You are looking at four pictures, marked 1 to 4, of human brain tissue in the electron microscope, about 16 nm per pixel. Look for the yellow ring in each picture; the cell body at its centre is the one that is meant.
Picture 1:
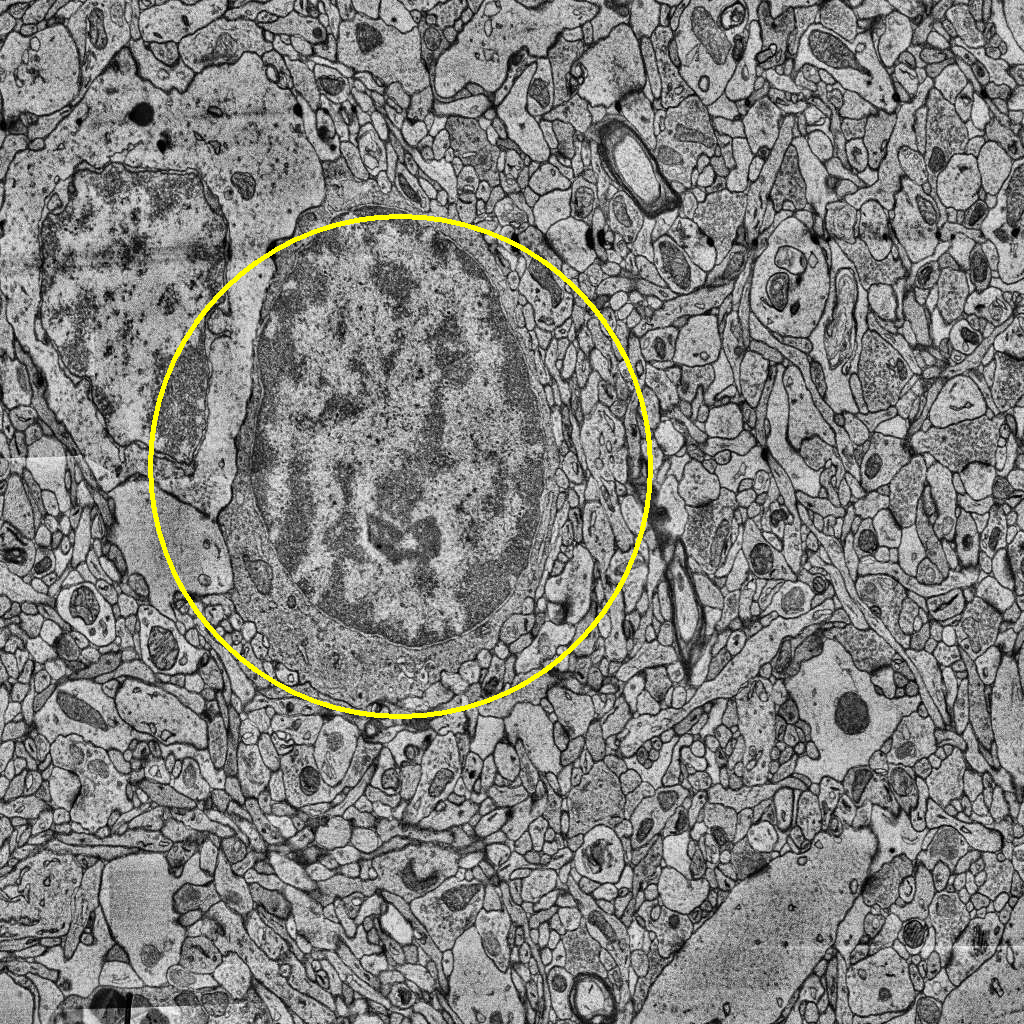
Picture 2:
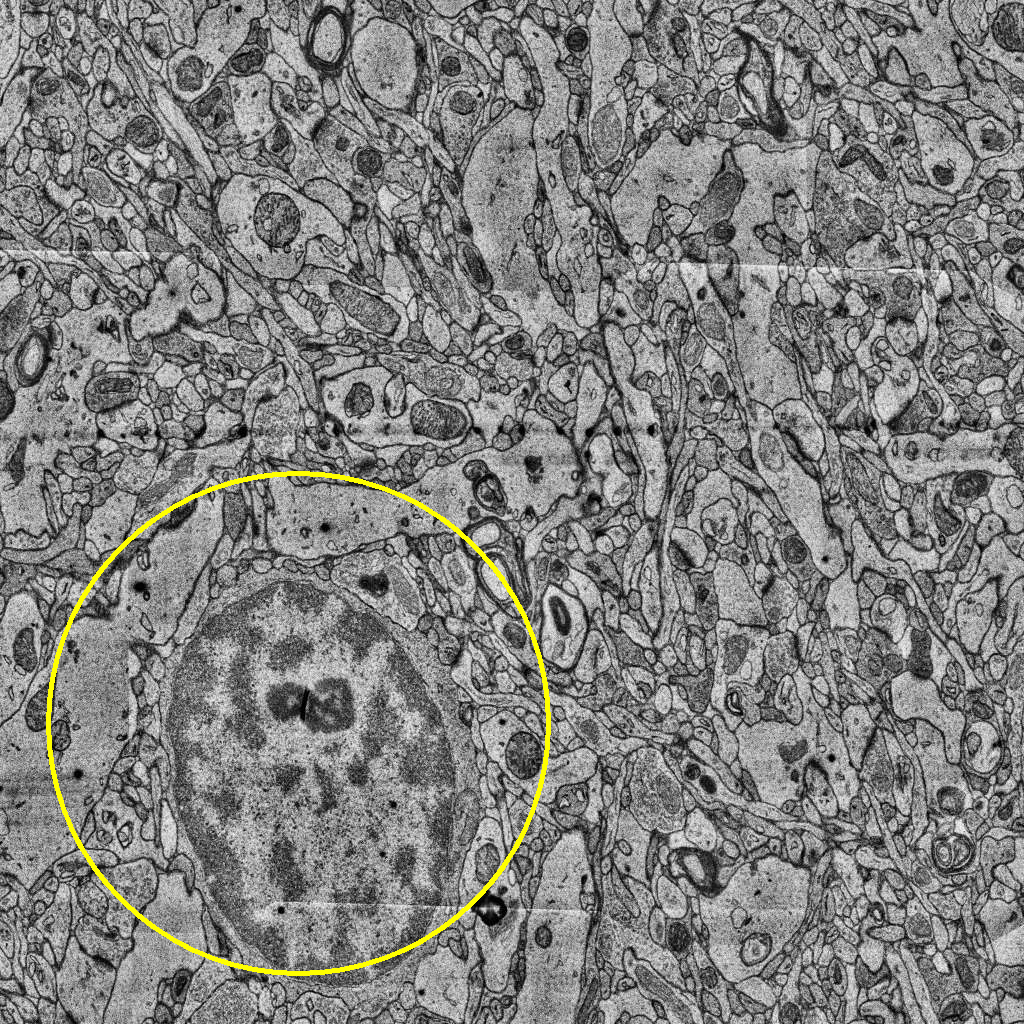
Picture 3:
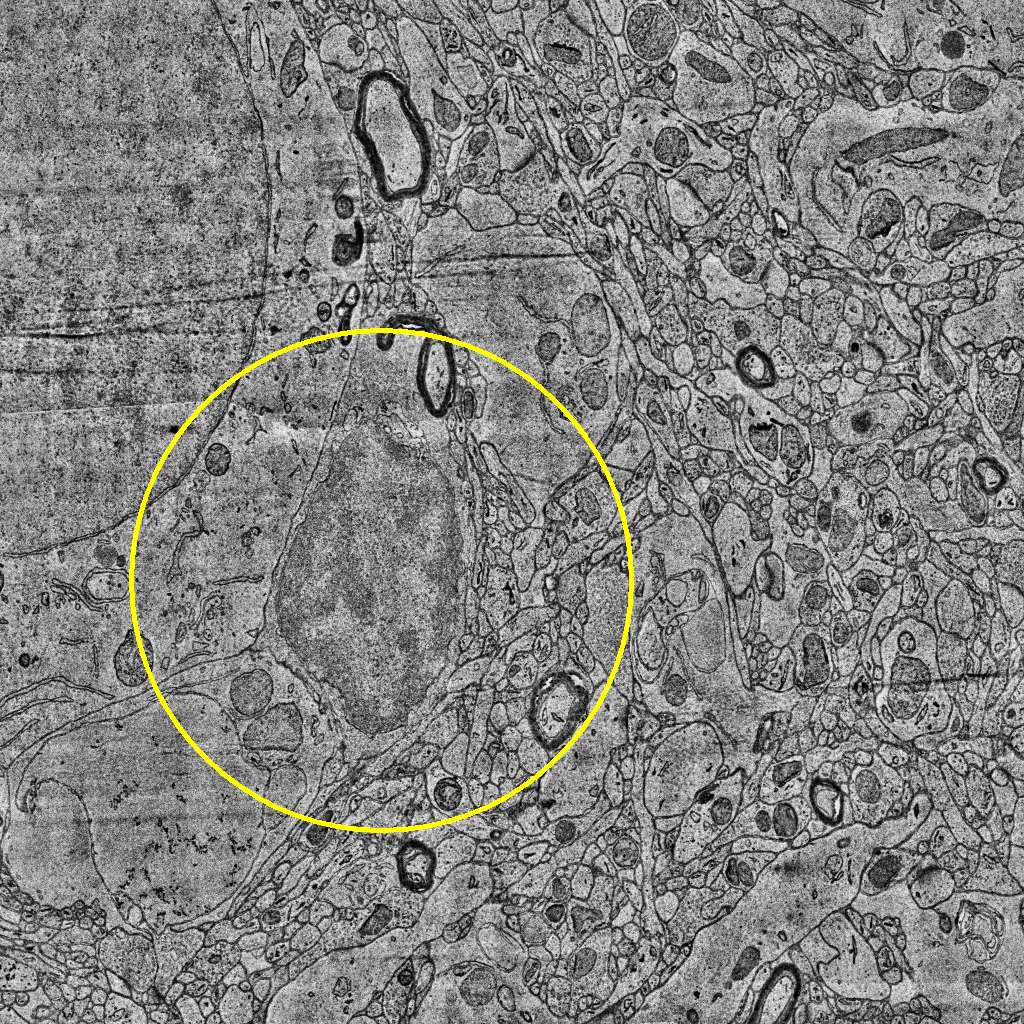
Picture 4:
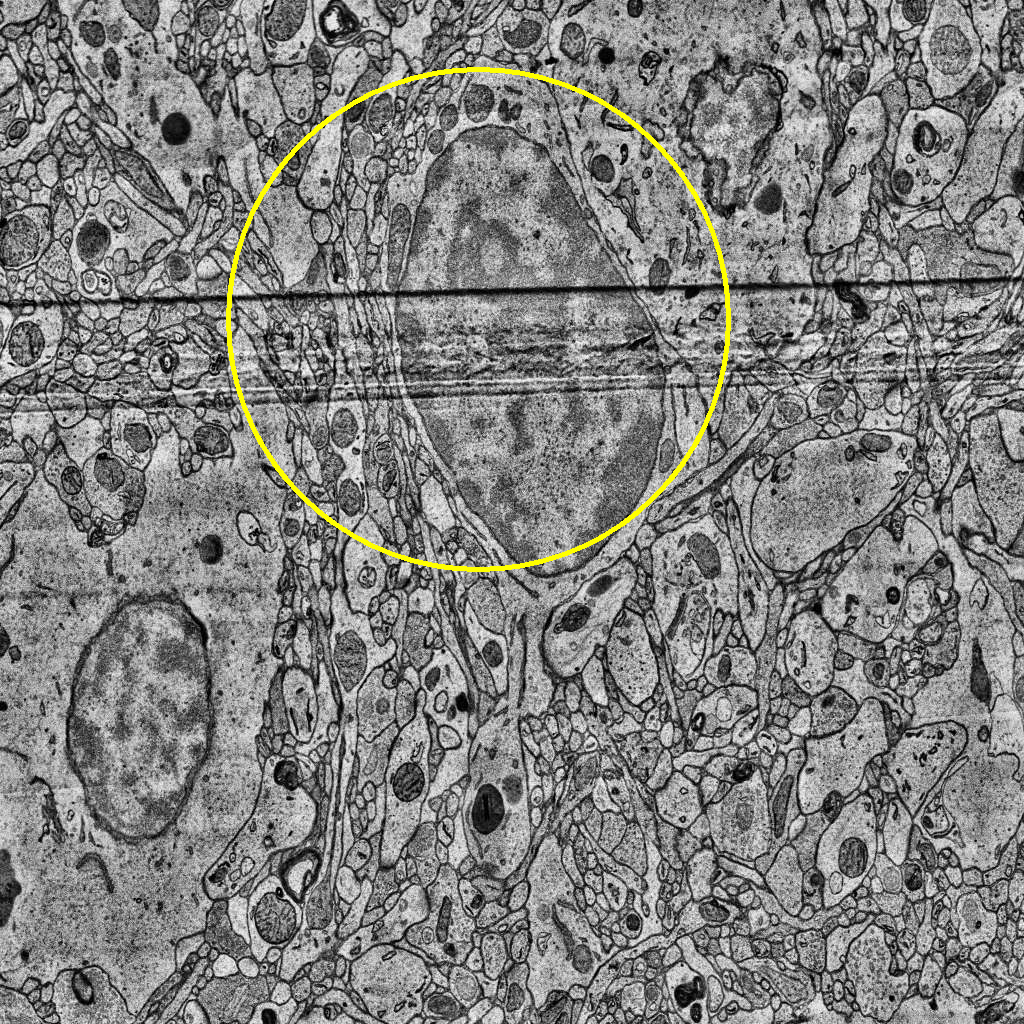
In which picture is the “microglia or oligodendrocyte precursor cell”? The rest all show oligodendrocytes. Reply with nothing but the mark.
4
